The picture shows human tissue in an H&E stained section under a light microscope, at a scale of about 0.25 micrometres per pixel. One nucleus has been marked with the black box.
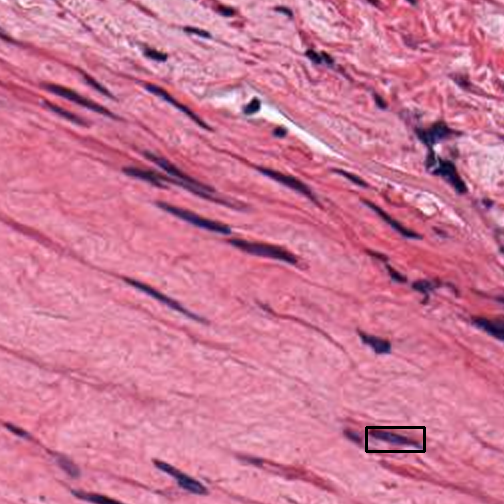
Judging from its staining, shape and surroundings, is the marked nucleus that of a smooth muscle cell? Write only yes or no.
yes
